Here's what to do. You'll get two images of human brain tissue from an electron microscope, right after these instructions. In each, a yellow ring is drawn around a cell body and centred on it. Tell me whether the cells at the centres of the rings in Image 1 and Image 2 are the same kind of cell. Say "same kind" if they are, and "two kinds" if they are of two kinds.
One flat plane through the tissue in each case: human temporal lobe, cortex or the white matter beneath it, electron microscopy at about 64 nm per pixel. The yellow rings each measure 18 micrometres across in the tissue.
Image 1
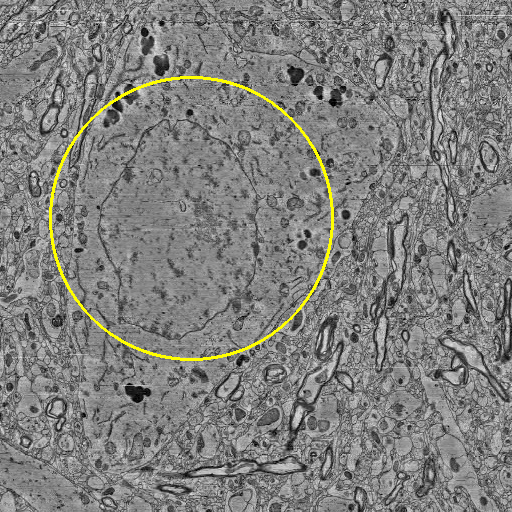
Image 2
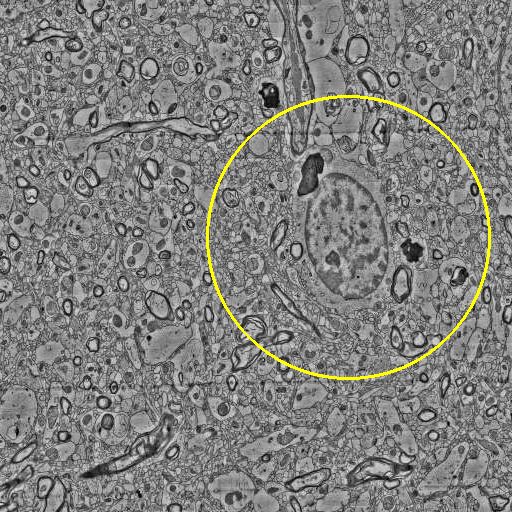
two kinds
